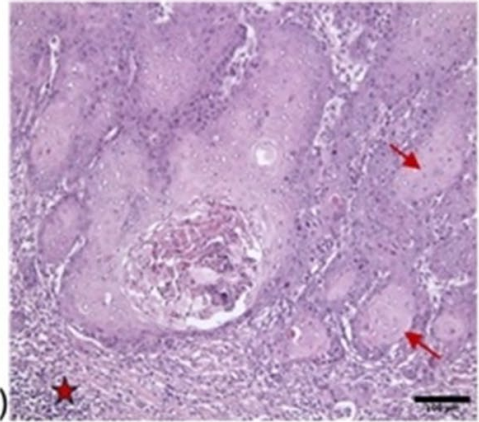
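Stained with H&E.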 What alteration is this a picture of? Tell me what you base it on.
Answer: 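Nests and islands of neoplastic squamous epithelial cells. Rounded islands of pink squamous epithelium lie separated by strands of stroma. Cellular connective tissue surrounds the islands.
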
